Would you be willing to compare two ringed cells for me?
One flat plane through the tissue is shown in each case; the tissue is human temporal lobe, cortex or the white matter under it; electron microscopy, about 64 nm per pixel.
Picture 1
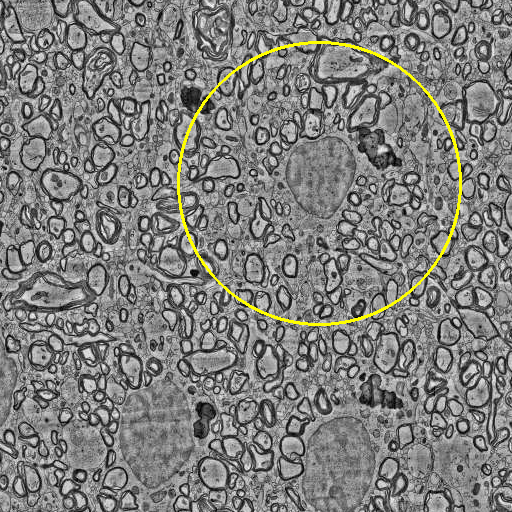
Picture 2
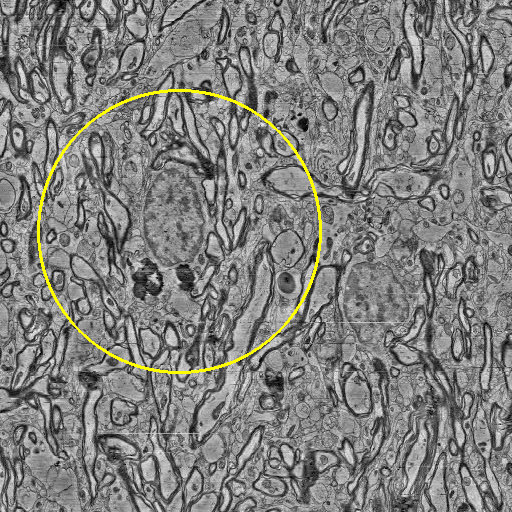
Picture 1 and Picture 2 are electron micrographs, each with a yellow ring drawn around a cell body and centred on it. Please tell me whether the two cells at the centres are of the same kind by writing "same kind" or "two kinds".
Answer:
same kind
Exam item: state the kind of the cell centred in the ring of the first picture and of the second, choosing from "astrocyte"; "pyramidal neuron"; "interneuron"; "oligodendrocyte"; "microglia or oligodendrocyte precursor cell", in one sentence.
Each one of the two ringed cells is an oligodendrocyte.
